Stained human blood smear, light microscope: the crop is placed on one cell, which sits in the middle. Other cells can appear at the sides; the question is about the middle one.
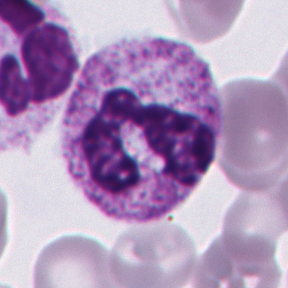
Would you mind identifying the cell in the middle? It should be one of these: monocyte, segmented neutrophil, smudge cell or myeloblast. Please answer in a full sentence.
Classification of the middle cell gives a segmented neutrophil.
